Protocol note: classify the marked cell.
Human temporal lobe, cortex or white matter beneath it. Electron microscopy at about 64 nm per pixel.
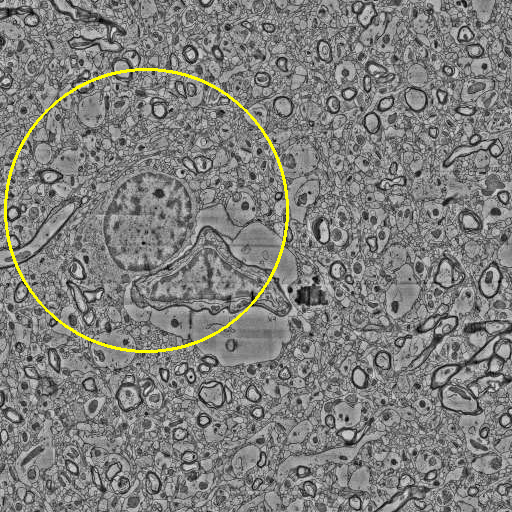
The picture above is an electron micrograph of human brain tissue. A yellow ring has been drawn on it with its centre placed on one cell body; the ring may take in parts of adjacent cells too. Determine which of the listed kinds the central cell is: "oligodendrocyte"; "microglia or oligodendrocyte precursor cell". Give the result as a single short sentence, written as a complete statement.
The central cell is an oligodendrocyte.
